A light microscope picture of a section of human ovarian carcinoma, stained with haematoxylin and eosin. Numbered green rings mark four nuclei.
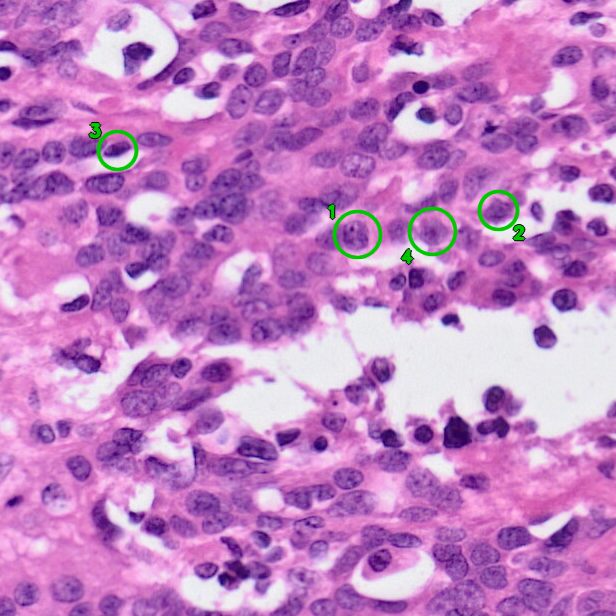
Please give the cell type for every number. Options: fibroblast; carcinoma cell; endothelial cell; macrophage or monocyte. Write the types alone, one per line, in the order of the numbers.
macrophage or monocyte
carcinoma cell
carcinoma cell
carcinoma cell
